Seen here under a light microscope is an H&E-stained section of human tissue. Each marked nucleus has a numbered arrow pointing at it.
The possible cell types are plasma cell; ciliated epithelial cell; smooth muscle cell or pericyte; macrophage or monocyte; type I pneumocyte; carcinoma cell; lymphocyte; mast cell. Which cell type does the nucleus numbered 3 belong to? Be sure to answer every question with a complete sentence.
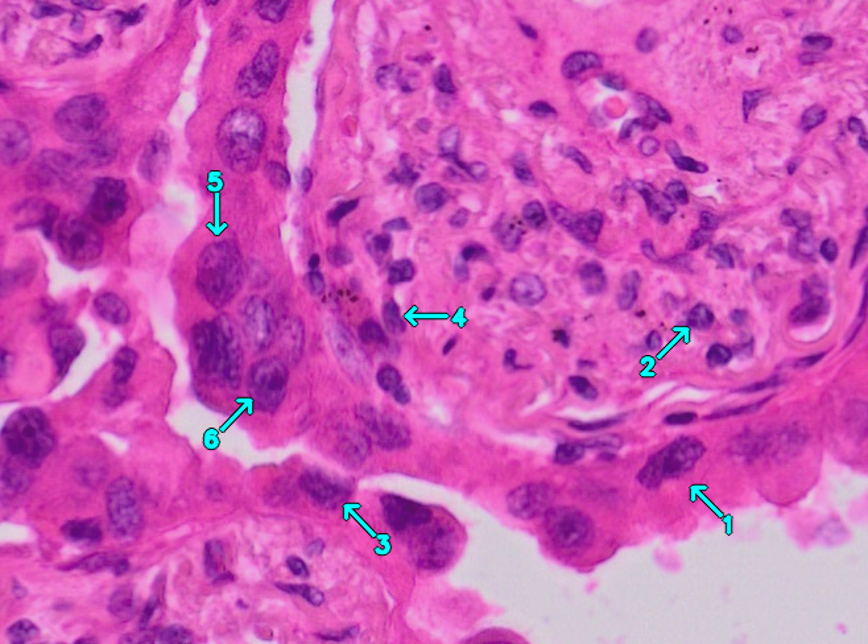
At number 3, the marked cell is a carcinoma cell.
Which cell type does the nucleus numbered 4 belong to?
The cell that is numbered 4 is a lymphocyte.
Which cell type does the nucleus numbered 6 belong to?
In the tissue shown, cell 6 is a carcinoma cell.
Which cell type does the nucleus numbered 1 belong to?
The cell that is numbered 1 is a carcinoma cell.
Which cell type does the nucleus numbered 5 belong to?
The cell to which the number 5 is assigned is a carcinoma cell.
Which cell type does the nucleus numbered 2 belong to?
Of the numbered cells, the one labelled 2 is a plasma cell.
